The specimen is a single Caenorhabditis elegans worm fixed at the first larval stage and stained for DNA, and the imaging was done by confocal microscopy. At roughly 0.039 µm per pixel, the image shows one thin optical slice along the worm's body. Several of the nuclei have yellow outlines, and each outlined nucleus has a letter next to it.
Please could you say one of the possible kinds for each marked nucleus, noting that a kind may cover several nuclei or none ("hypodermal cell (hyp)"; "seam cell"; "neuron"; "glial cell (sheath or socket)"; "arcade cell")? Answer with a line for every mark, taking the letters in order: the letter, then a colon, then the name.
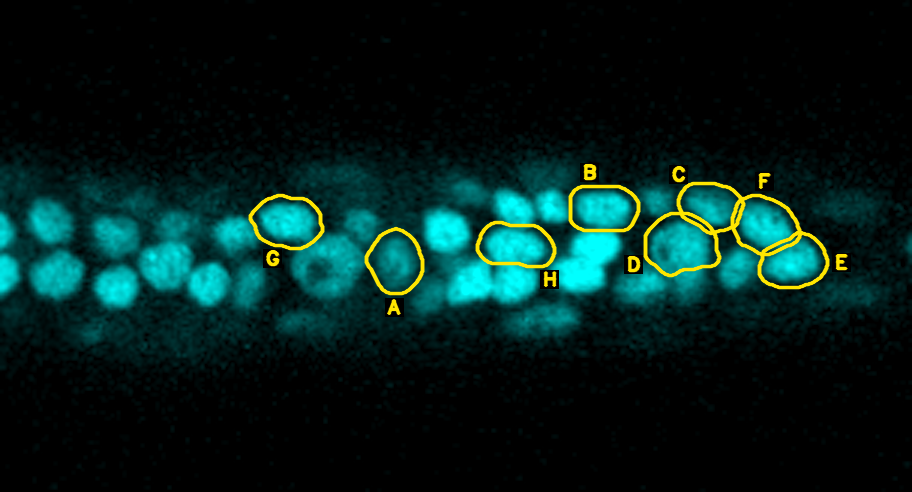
A: neuron
B: hypodermal cell (hyp)
C: glial cell (sheath or socket)
D: seam cell
E: arcade cell
F: hypodermal cell (hyp)
G: neuron
H: neuron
